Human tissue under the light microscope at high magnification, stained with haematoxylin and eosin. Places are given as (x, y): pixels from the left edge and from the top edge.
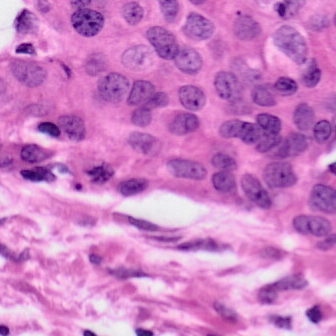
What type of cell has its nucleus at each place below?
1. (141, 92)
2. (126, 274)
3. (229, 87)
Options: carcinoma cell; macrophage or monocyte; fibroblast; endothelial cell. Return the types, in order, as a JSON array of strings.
["carcinoma cell", "fibroblast", "carcinoma cell"]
